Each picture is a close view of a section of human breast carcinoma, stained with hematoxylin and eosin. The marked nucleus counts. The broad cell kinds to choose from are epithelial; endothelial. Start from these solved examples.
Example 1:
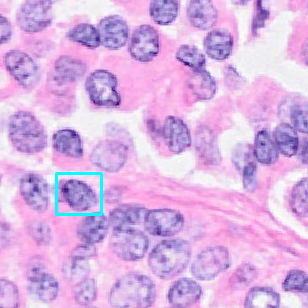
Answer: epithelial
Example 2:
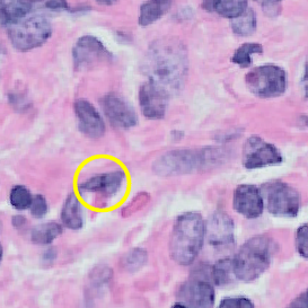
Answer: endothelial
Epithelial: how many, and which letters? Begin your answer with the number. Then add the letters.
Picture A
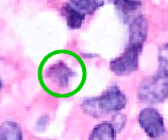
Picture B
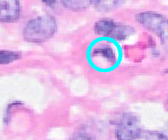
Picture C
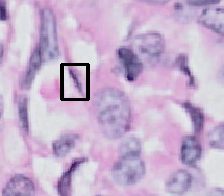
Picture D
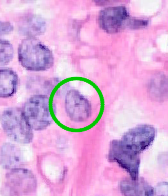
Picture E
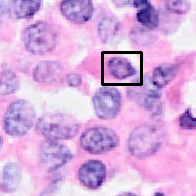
Count: 3 (A, D, E)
